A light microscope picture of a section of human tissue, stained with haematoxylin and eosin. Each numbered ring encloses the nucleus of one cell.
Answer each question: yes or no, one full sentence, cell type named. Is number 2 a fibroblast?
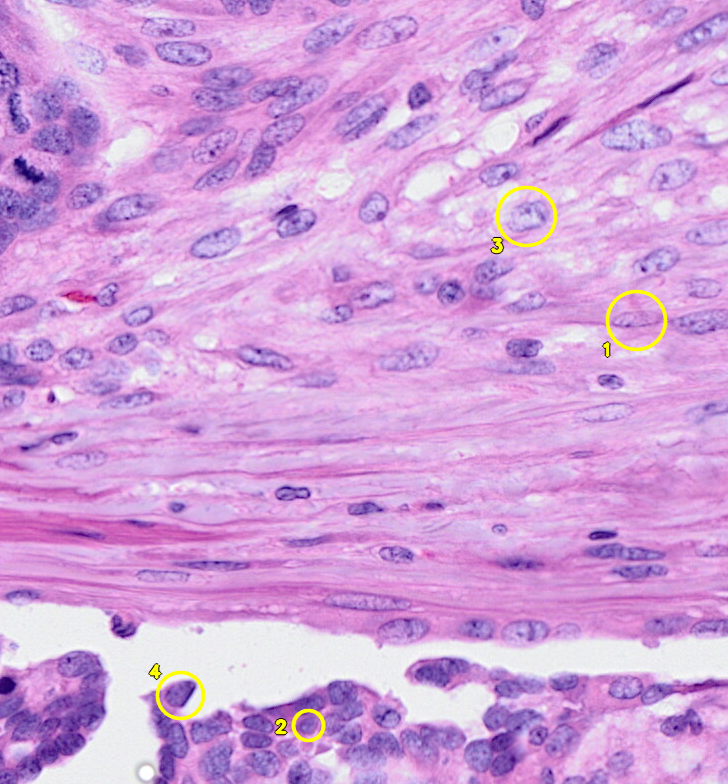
No, the cell given number 2 is a carcinoma cell, as opposed to a fibroblast.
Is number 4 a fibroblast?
No, what is marked as number 4 is a carcinoma cell rather than a fibroblast.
